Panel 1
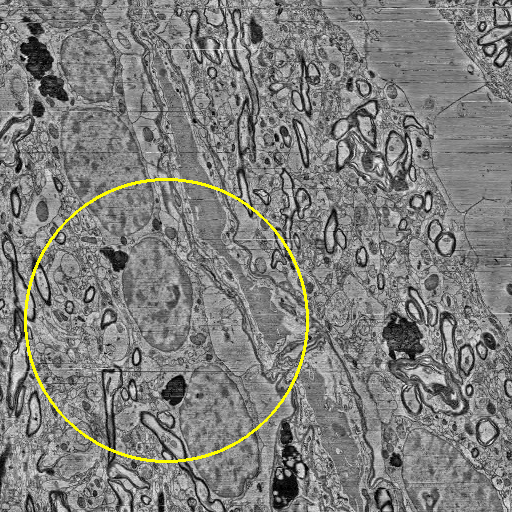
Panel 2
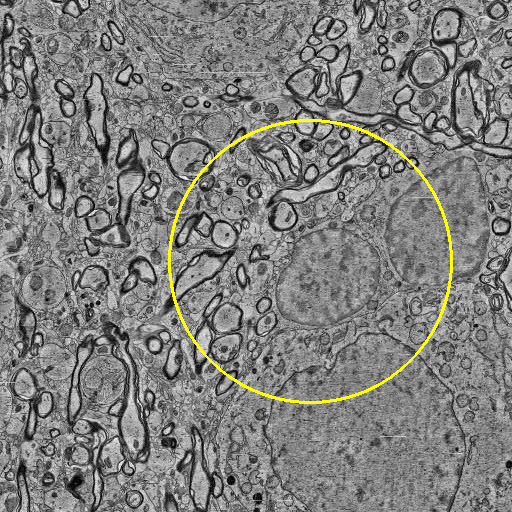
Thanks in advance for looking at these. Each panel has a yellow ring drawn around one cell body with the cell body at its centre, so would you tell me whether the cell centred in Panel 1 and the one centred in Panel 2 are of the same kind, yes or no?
yes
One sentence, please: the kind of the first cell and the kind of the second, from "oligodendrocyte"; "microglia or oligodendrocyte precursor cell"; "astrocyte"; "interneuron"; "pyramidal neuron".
Both the first and the second picture show an oligodendrocyte in the ring.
